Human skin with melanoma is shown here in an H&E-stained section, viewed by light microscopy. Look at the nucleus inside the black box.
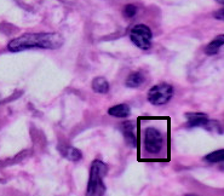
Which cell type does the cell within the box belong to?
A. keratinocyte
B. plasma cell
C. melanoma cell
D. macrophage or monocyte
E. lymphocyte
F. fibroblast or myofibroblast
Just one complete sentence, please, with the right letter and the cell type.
What option B states, that the cell within the box is a plasma cell, is correct.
